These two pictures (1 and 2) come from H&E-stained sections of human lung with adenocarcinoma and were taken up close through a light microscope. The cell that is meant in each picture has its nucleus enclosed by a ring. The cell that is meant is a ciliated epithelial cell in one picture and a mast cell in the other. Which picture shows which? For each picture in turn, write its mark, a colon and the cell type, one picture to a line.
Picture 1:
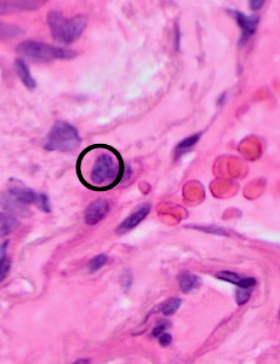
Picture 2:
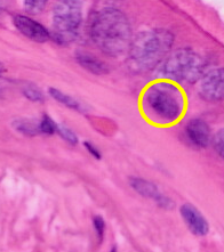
1: mast cell
2: ciliated epithelial cell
